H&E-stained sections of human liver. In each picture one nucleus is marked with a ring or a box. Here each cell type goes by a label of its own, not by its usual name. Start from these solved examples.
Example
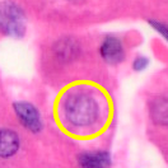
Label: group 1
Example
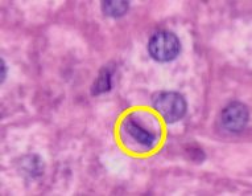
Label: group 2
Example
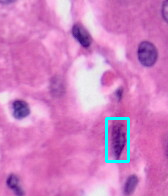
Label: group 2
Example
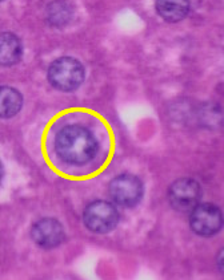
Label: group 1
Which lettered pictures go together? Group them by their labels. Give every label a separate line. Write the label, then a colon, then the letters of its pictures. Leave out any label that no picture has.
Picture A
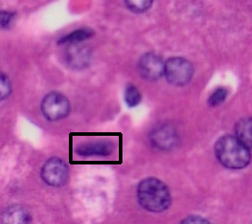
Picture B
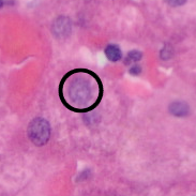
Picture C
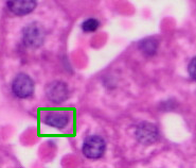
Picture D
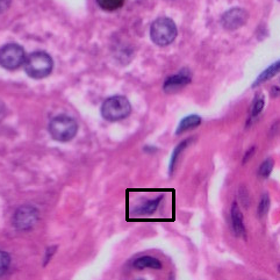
group 1: B
group 2: A, C, D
